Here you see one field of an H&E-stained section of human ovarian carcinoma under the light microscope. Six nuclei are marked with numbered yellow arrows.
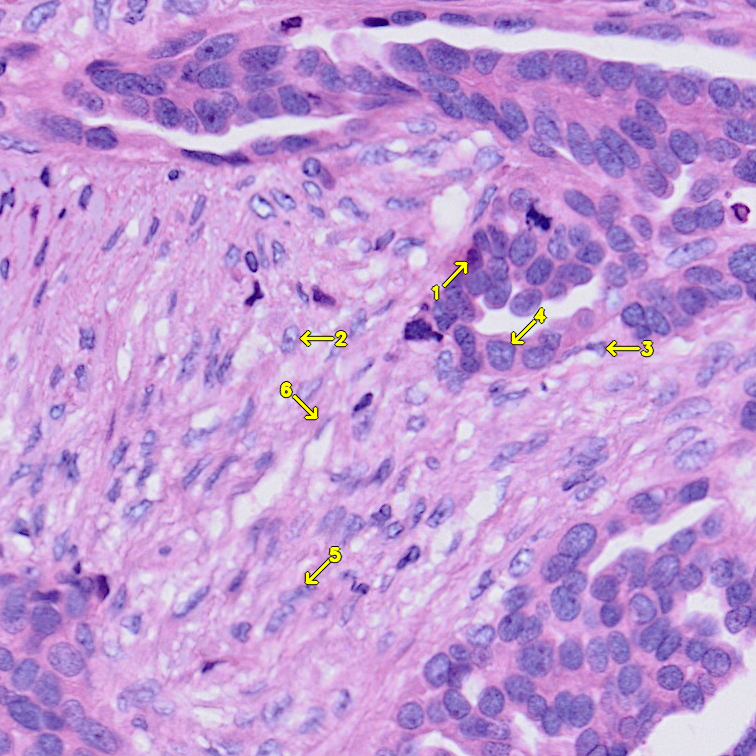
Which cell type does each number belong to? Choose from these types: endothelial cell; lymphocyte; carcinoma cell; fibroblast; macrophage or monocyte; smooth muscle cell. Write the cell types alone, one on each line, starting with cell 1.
carcinoma cell
fibroblast
fibroblast
carcinoma cell
fibroblast
fibroblast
